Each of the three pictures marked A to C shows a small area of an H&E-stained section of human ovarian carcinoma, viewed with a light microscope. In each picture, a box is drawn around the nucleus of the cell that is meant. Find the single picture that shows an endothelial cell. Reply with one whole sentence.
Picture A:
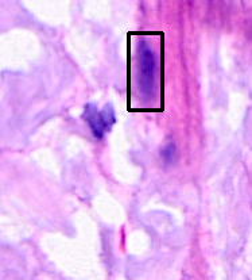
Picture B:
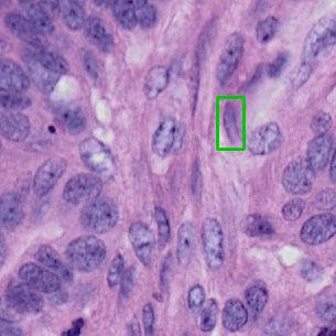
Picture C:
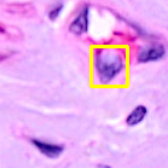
Picture C shows the endothelial cell.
